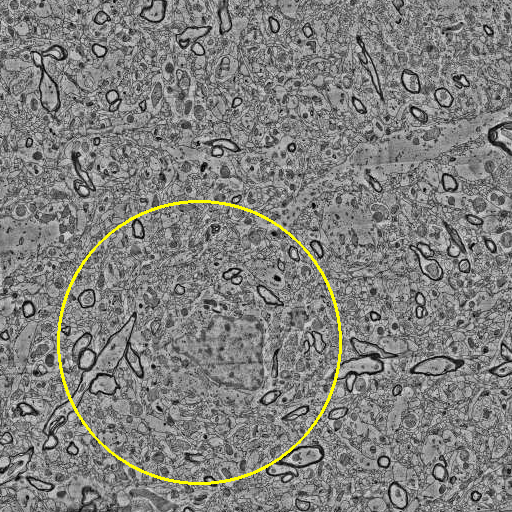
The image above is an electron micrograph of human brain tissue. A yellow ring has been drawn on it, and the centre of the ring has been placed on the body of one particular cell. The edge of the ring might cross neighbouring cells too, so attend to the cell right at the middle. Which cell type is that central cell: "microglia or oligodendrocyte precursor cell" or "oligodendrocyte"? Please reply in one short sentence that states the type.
The central cell in the ring is a microglial cell or oligodendrocyte precursor cell.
